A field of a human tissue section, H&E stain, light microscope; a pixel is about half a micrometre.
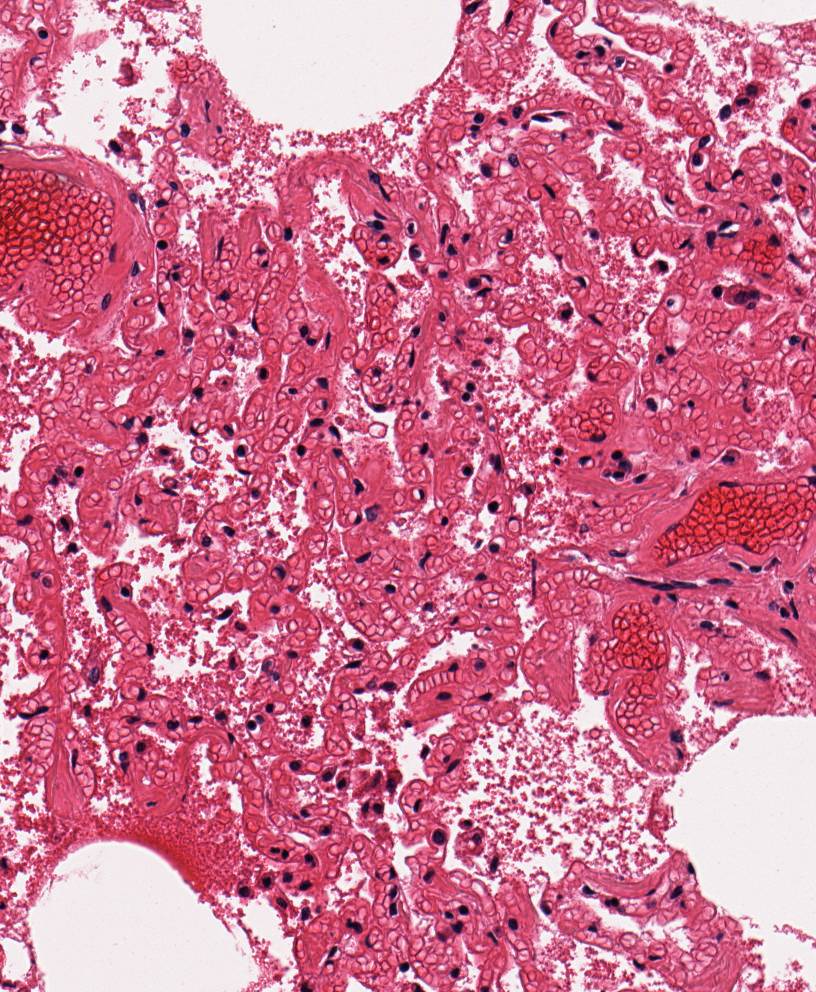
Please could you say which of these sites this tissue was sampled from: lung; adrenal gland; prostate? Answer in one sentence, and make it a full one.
Tissue for this slide was taken from the lung.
